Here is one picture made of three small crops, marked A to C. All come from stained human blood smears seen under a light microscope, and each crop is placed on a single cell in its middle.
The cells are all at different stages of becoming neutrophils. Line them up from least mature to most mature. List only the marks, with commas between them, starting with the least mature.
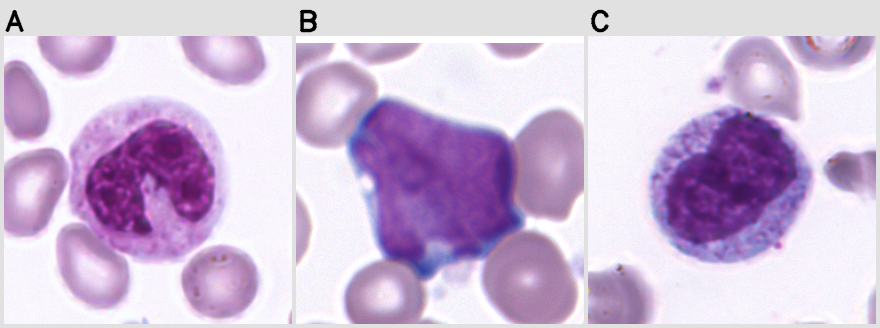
B, C, A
